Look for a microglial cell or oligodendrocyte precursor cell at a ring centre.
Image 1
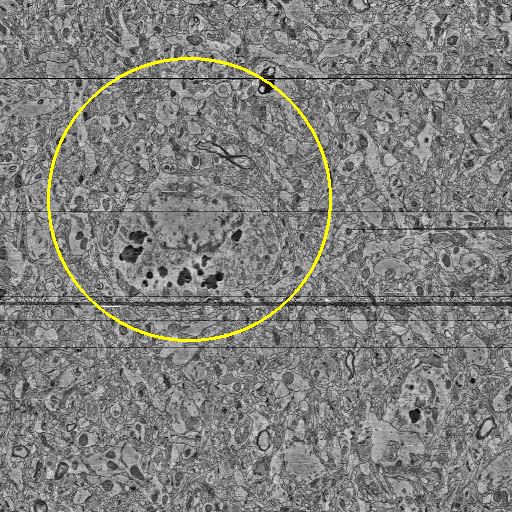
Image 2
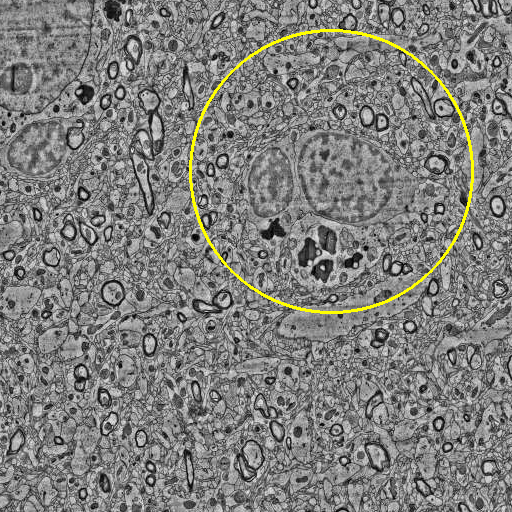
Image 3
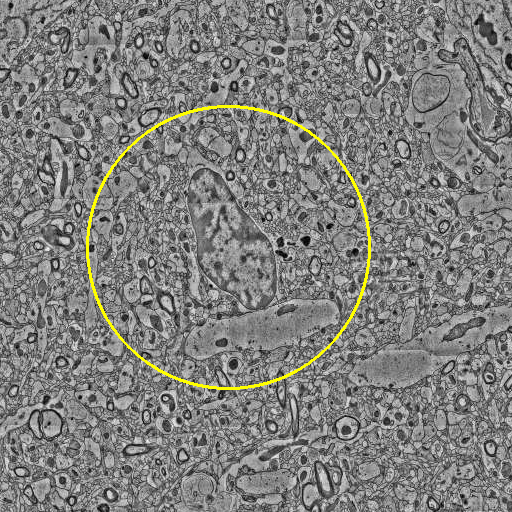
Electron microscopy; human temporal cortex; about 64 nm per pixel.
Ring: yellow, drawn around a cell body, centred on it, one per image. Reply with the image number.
3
